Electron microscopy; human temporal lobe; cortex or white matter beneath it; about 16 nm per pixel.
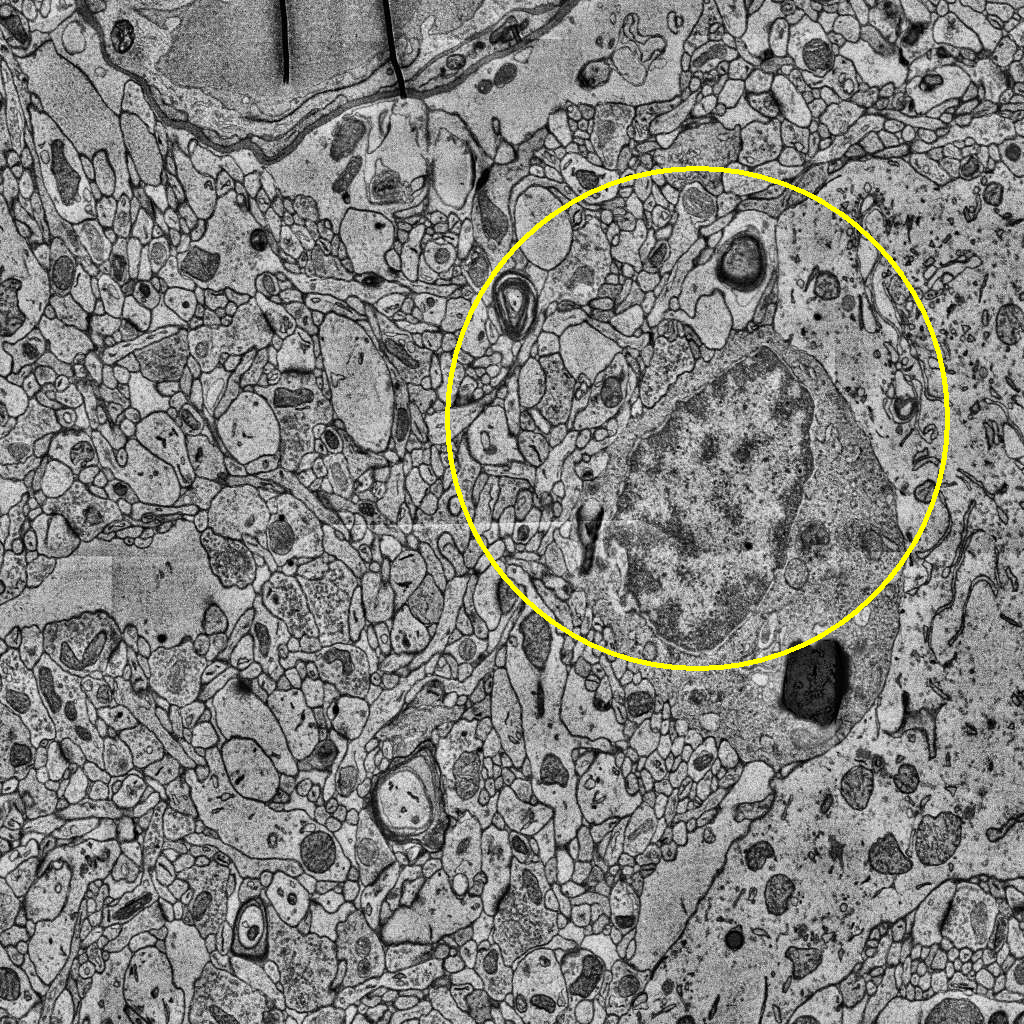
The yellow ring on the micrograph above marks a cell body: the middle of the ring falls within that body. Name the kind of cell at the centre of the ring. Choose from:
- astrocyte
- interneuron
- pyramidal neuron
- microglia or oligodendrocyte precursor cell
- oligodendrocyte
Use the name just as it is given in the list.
oligodendrocyte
